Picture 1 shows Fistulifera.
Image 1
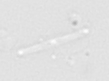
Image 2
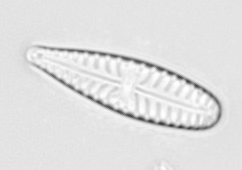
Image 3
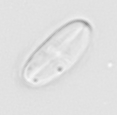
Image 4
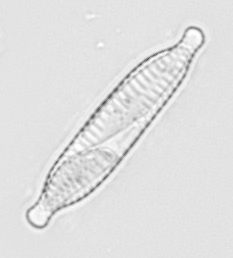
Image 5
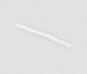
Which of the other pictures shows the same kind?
Picture 5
